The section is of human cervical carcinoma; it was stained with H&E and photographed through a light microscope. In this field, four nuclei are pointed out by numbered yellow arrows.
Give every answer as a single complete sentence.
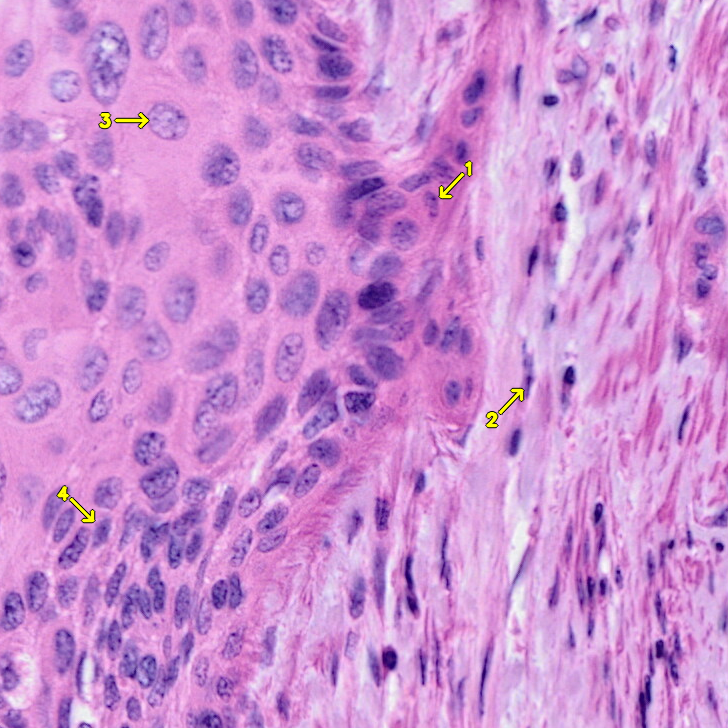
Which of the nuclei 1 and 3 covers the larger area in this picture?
Nucleus 3 is larger, with an area about 4 times that of nucleus 1.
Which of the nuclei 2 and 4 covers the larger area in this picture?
Nucleus 4 is the larger one, covering about 2 times the area of nucleus 2.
